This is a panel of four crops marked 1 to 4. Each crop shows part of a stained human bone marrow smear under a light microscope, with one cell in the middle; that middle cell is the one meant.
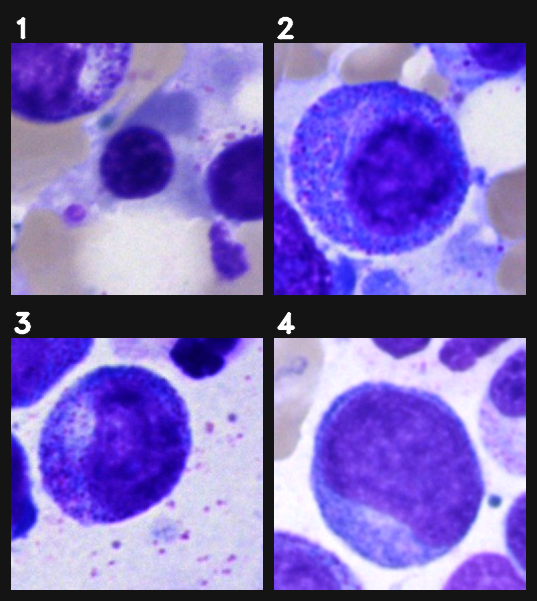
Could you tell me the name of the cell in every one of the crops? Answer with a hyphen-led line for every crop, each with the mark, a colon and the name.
- 1: normoblast
- 2: promyelocyte
- 3: promyelocyte
- 4: blast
